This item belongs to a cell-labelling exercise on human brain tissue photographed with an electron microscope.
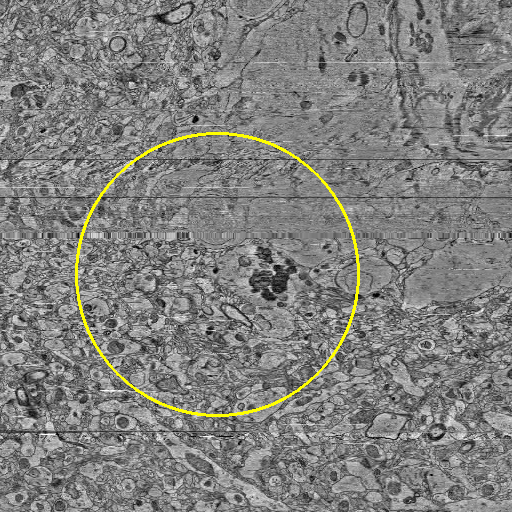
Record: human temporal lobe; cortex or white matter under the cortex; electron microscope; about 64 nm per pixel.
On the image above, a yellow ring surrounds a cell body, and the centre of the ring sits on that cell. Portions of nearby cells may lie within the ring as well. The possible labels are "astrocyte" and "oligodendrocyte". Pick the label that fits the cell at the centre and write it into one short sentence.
This cell should be labelled as an oligodendrocyte.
